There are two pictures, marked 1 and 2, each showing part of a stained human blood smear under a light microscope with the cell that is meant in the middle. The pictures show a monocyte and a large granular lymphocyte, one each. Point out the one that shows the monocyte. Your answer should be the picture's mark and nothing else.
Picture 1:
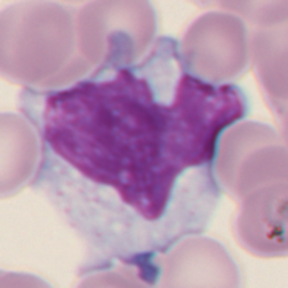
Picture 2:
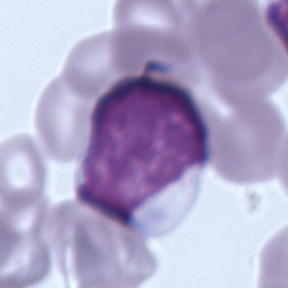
1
